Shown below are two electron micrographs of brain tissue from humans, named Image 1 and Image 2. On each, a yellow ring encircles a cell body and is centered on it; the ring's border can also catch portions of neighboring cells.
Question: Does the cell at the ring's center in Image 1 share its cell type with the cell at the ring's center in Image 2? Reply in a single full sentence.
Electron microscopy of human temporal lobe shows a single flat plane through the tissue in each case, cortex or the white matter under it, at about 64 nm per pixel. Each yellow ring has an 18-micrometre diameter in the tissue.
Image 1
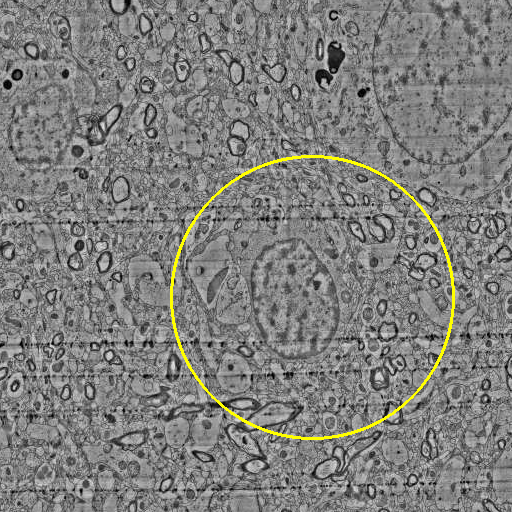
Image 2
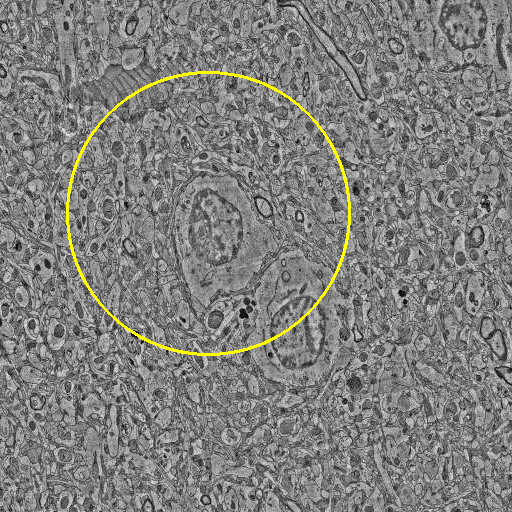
No, the two cells at the ring centers, in Image 1 and Image 2, are of two cell types.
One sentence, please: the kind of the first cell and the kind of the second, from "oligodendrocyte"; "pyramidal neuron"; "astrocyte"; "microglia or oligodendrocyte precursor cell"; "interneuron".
The ring in the first picture surrounds an oligodendrocyte, and the ring in the second surrounds an astrocyte.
